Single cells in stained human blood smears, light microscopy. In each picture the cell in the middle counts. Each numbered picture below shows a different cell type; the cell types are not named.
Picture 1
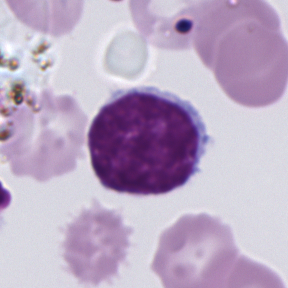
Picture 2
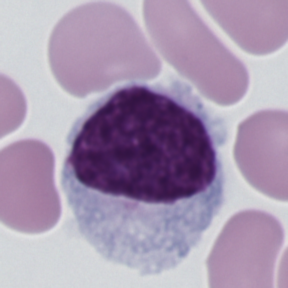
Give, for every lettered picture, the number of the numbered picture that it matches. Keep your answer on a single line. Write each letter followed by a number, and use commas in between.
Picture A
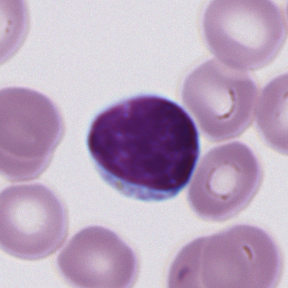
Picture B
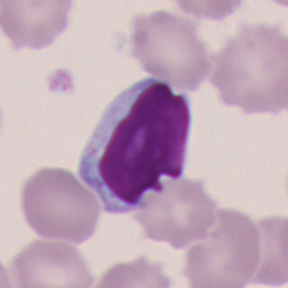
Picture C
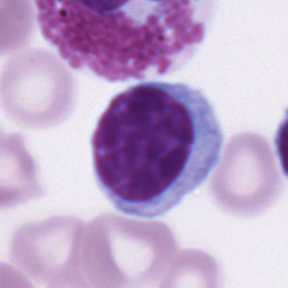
A 1, B 1, C 1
